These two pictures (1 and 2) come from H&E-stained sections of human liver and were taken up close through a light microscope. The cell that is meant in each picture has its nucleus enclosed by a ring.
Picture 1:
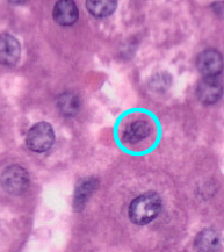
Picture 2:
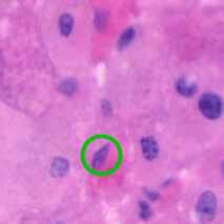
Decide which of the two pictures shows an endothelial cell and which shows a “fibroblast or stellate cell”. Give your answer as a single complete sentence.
In picture 1 the cell is a “fibroblast or stellate cell”; in picture 2, an endothelial cell.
